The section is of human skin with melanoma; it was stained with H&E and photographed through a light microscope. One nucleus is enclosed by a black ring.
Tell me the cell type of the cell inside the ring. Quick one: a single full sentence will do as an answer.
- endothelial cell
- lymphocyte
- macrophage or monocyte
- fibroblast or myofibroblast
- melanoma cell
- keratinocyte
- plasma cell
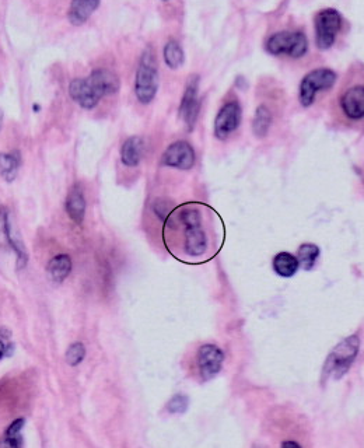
In cellular terms, the cell inside the ring is a macrophage or monocyte.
